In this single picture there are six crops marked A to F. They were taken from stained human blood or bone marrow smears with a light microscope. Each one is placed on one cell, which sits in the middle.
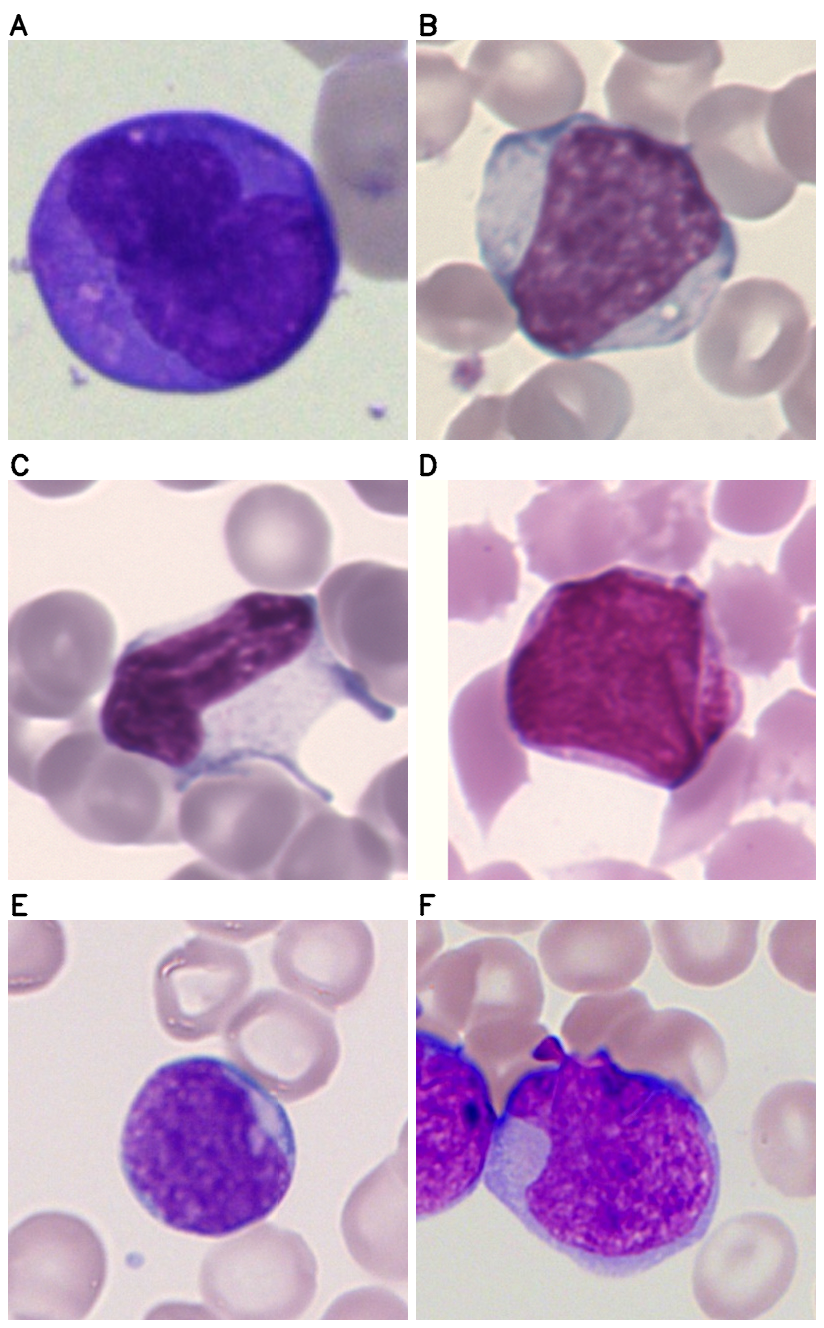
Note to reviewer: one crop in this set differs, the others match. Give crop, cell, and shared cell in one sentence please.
The different crop is crop C, a lymphocyte; all the others show blasts.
